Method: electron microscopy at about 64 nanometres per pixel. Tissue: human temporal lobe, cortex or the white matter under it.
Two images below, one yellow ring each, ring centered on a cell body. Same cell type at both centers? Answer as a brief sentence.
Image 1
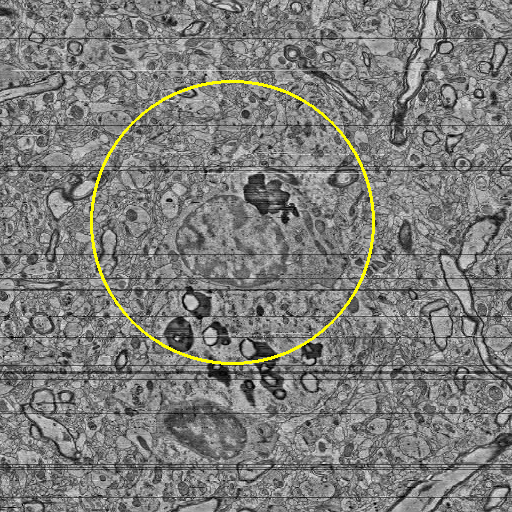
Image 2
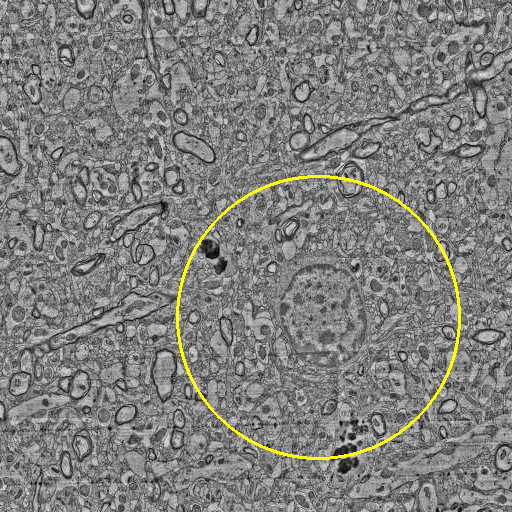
Yes, both cells are of the same type.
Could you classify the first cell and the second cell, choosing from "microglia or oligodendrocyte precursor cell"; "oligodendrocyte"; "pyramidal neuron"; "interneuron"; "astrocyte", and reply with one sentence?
The ring centre holds an oligodendrocyte in each of the two pictures.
